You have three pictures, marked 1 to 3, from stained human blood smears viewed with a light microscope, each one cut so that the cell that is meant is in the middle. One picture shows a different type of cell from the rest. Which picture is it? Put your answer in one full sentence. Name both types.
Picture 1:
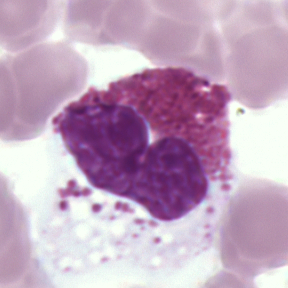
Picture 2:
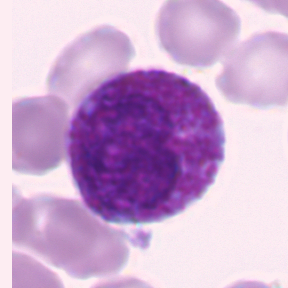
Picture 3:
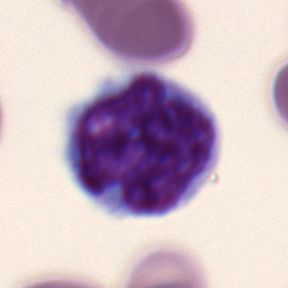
Picture 3 is the odd one out: it shows a monocyte, while the others show eosinophils.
